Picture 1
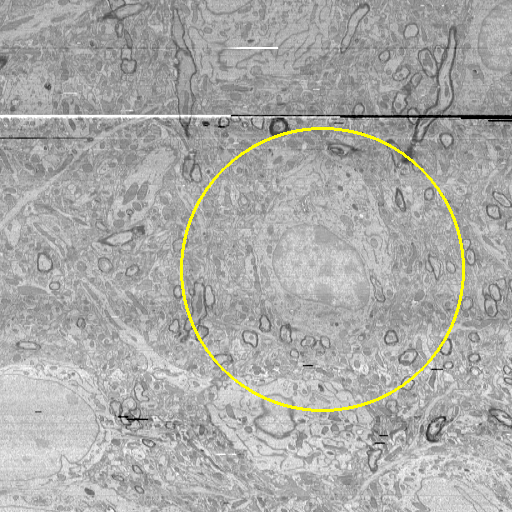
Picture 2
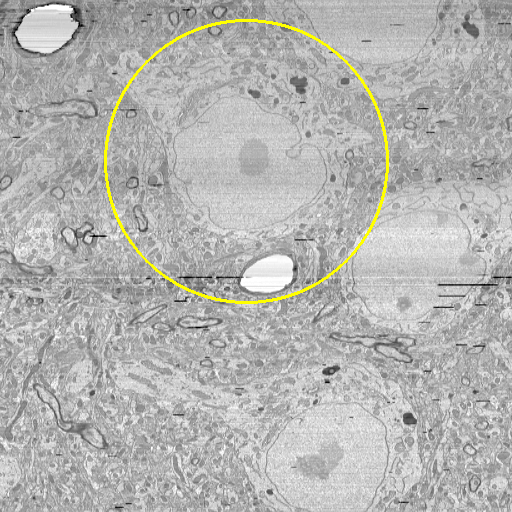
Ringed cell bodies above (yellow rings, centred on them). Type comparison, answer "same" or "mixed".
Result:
mixed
